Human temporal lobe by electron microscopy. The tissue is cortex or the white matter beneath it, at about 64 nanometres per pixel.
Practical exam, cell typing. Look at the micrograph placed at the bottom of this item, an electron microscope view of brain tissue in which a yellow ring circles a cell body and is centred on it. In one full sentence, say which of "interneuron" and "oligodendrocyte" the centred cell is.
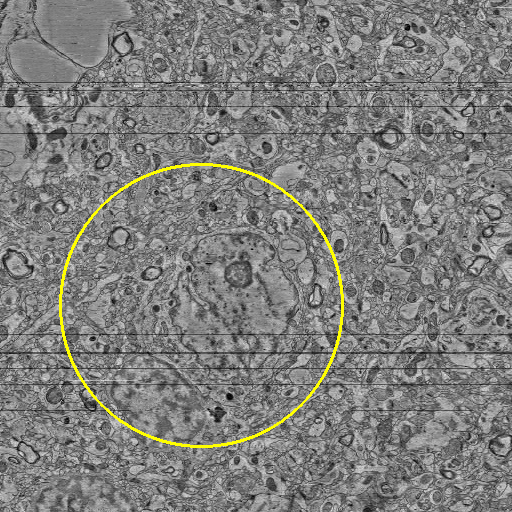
Given the options, an interneuron fits the cell whose body the yellow ring is centred on.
